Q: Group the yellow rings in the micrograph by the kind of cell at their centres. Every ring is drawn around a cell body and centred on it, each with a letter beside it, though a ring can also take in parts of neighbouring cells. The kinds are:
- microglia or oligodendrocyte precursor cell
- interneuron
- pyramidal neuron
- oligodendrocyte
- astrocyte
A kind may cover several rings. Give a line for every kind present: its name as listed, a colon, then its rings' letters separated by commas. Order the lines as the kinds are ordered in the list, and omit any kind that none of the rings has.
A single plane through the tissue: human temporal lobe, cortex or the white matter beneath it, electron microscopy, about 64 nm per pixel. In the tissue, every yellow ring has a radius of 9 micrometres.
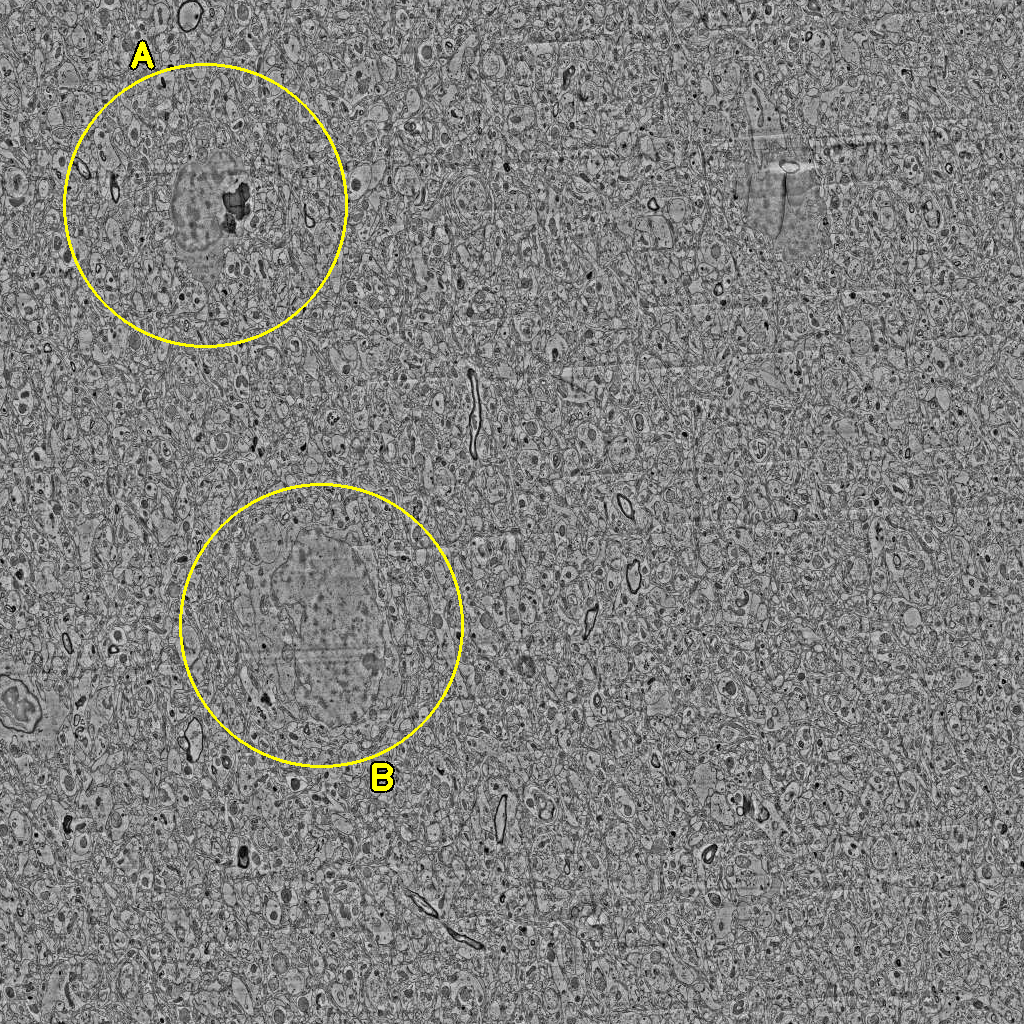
interneuron: B
oligodendrocyte: A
